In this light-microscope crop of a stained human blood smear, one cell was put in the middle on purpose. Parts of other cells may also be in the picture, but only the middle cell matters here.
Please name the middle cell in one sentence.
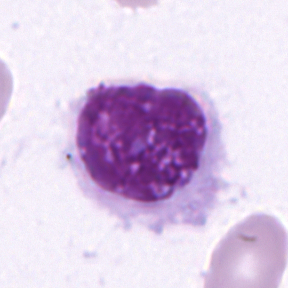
The target cell in the middle of the crop is a plasma cell.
